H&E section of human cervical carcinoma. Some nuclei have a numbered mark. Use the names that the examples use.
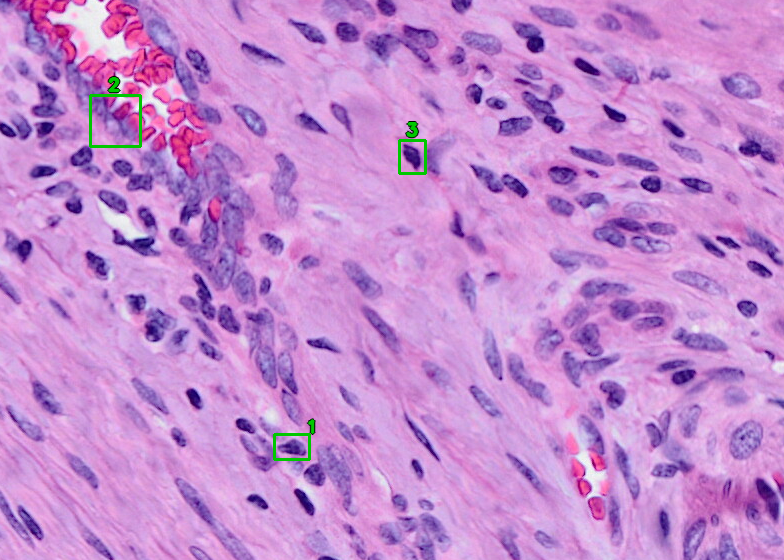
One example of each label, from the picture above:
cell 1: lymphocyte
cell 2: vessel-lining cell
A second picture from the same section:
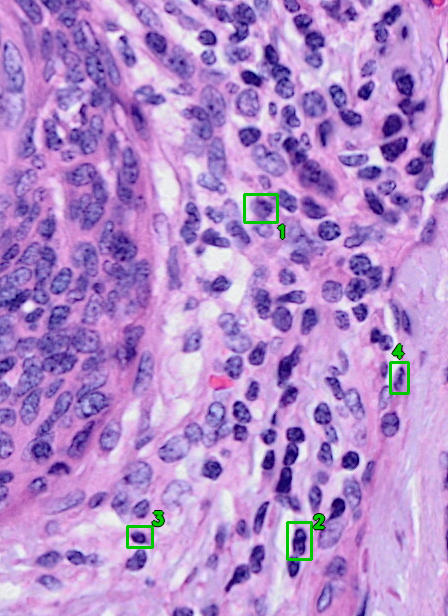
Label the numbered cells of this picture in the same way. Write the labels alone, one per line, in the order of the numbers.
lymphocyte
lymphocyte
lymphocyte
vessel-lining cell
